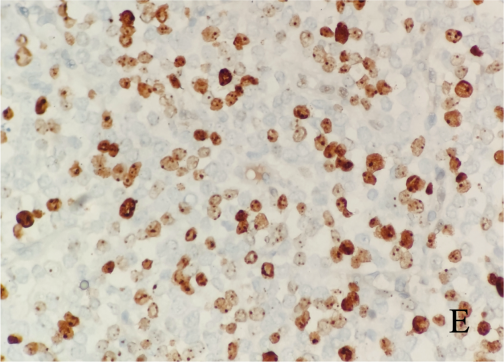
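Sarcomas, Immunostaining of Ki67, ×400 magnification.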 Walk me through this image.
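Tumor of small round cells in which many nuclei are stained brown. The brown-stained nuclei are scattered evenly through the field, mixed with pale blue unstained nuclei. Stained nuclei are round and vary in intensity, some dark brown and solid, others lighter and granular.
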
